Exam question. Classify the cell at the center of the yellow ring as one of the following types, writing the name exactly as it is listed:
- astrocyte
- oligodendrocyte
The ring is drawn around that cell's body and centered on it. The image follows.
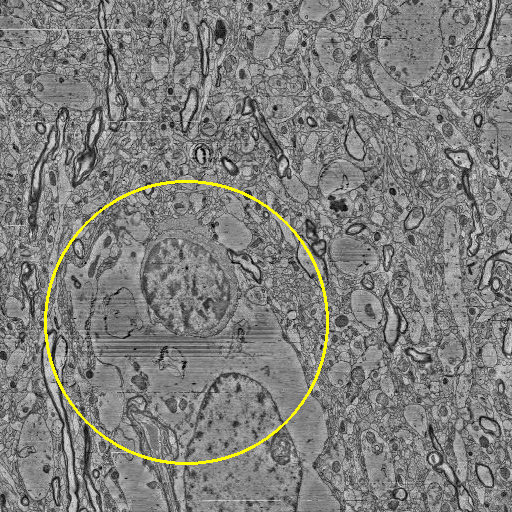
oligodendrocyte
